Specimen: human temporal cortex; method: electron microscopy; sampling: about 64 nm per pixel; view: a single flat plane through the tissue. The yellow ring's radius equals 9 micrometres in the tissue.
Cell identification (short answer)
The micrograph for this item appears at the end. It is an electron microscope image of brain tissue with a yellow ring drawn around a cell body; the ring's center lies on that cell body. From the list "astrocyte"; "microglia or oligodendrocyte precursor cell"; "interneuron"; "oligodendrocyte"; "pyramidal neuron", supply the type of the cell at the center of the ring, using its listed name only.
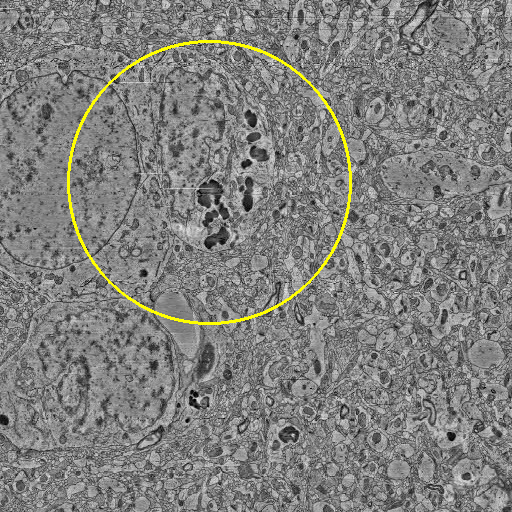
interneuron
